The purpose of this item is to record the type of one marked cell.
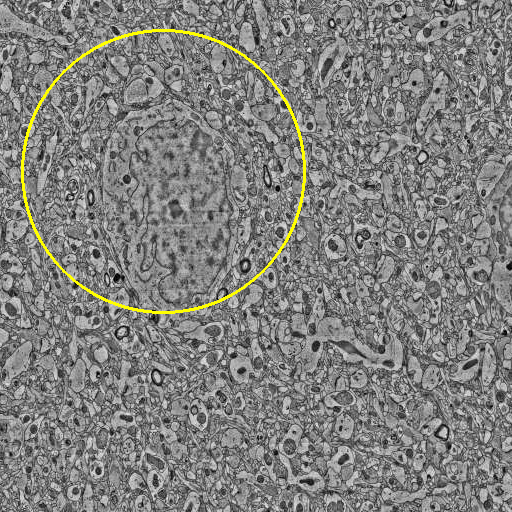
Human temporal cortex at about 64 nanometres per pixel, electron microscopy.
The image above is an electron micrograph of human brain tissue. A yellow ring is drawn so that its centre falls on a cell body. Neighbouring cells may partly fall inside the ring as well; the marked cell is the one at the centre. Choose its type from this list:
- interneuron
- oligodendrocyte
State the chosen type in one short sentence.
What the ring marks here is an interneuron.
